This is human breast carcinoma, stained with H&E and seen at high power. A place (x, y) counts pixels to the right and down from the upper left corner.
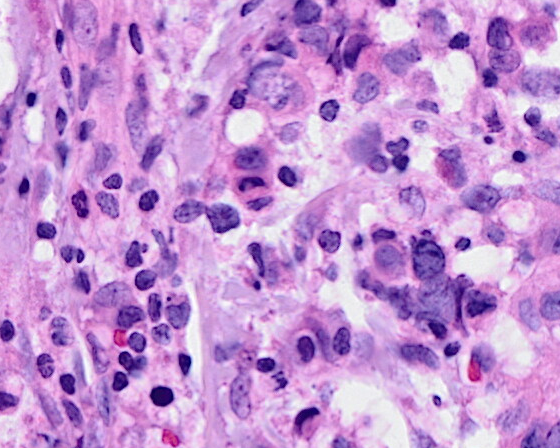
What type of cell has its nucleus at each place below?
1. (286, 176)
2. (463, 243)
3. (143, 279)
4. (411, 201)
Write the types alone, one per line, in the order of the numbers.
lymphocyte
lymphocyte
lymphocyte
macrophage, monocyte or dendritic cell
